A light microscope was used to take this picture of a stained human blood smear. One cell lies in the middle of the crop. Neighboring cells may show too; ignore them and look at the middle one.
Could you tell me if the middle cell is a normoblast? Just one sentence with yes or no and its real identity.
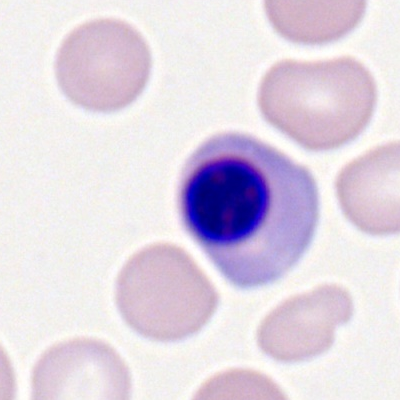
Yes, the cell that lies centrally is a normoblast.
